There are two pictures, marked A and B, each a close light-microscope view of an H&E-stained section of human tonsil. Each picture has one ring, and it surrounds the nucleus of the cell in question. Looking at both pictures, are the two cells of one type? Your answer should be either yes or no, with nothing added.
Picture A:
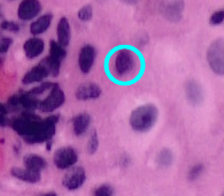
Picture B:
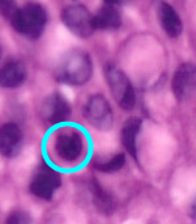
yes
